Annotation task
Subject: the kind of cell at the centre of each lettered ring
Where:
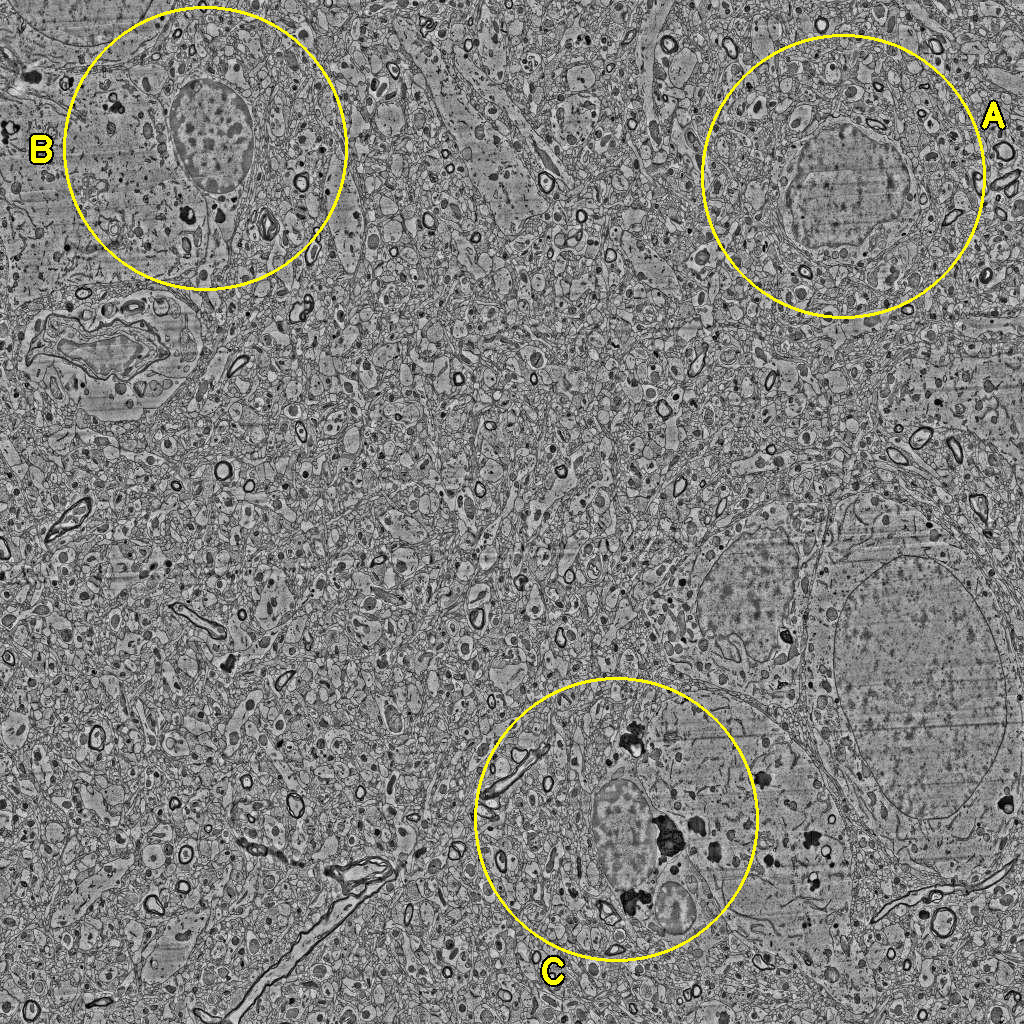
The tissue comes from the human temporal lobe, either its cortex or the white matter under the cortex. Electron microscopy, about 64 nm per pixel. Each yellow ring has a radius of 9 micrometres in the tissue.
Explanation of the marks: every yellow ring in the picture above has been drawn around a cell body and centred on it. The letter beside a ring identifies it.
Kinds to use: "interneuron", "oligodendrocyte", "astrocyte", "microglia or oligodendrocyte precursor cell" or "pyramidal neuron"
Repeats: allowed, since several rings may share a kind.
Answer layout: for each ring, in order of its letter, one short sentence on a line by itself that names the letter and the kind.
The ring lettered A is drawn around an interneuron.
The ring lettered B is drawn around a microglial cell or oligodendrocyte precursor cell.
The ring lettered C is drawn around an oligodendrocyte.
